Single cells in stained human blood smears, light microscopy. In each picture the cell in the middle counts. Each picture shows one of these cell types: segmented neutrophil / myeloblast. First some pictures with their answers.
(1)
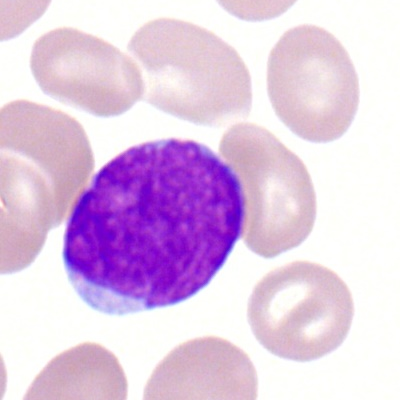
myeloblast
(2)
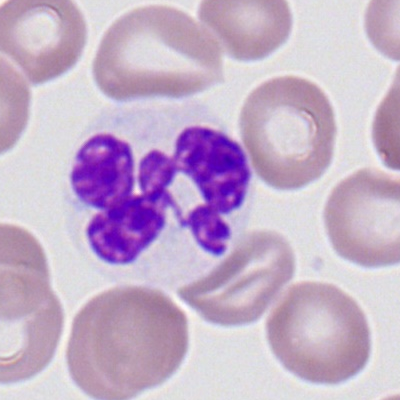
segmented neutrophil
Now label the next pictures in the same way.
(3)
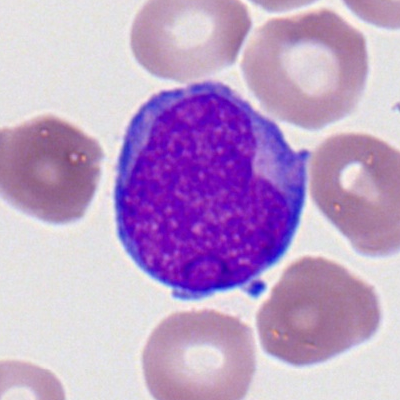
myeloblast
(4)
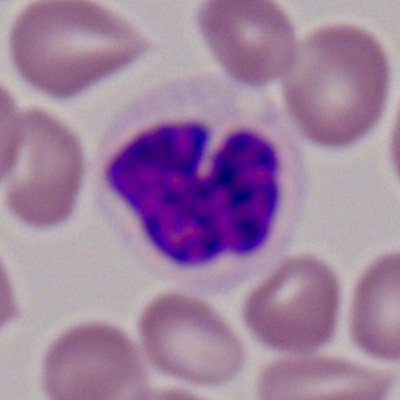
segmented neutrophil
